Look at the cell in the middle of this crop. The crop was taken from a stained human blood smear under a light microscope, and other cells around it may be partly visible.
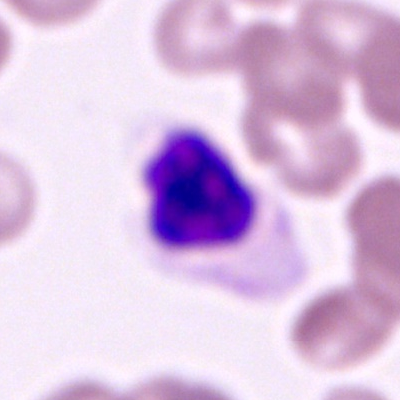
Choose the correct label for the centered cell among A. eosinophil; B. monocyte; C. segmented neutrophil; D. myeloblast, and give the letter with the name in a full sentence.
Correctly, option C names the cell in the middle a segmented neutrophil.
